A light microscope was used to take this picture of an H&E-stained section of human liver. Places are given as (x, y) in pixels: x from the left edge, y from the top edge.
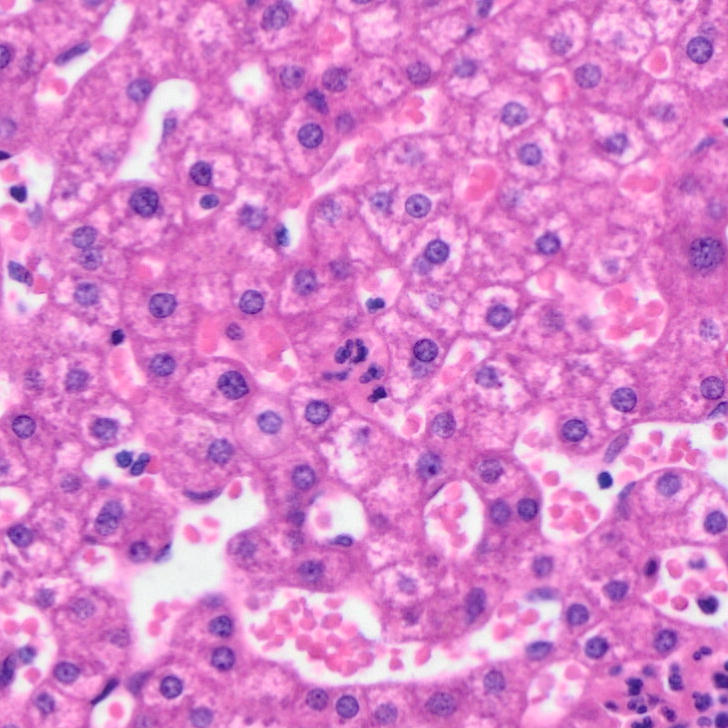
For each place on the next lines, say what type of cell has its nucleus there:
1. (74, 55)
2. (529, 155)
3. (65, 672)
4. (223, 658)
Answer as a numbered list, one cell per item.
1. Kupffer cell
2. hepatocyte
3. hepatocyte
4. hepatocyte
